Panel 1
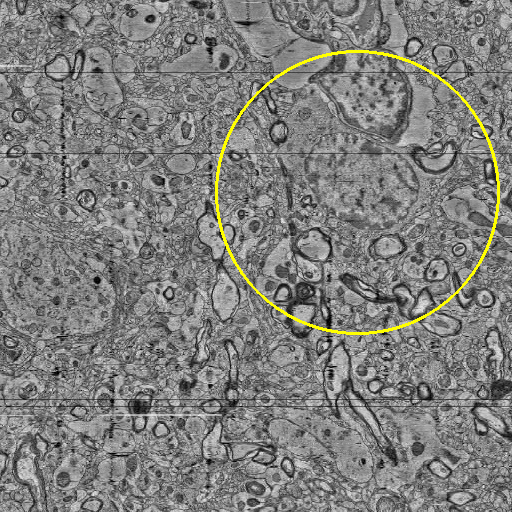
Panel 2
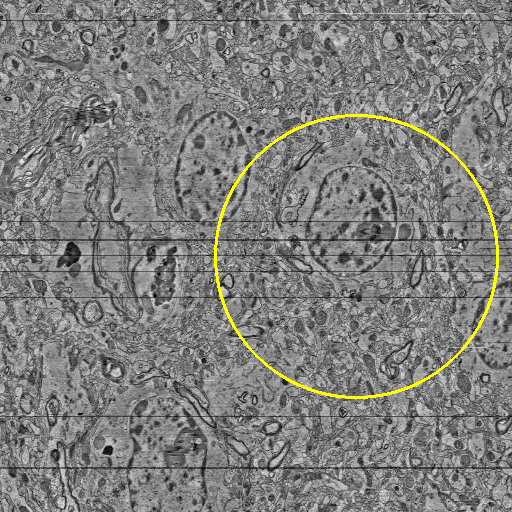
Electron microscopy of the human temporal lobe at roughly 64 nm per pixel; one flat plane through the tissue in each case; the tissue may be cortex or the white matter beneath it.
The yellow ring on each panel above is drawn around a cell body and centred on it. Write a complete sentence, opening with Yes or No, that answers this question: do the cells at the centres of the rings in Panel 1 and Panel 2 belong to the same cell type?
No, the two cells belong to two cell types.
